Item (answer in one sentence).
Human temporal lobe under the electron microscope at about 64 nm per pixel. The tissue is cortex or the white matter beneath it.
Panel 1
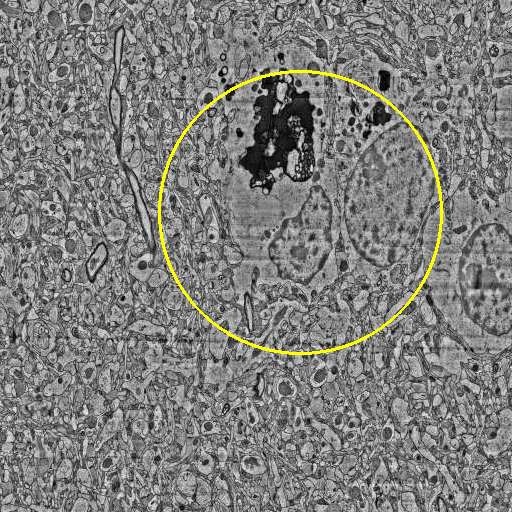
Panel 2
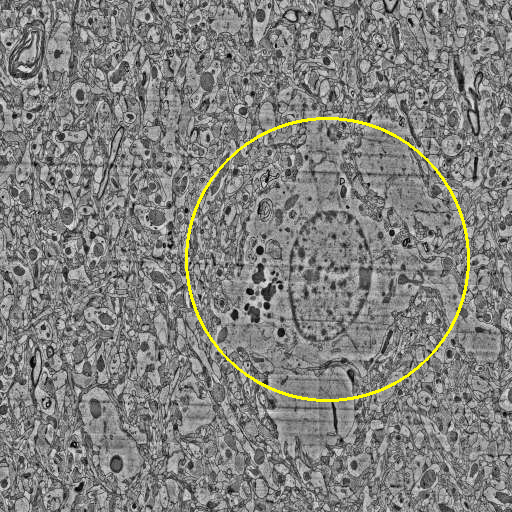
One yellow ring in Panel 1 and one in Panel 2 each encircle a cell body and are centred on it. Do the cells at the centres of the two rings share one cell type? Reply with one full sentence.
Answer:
Yes, Panel 1 and Panel 2 show cells of one type at the centres of their rings.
